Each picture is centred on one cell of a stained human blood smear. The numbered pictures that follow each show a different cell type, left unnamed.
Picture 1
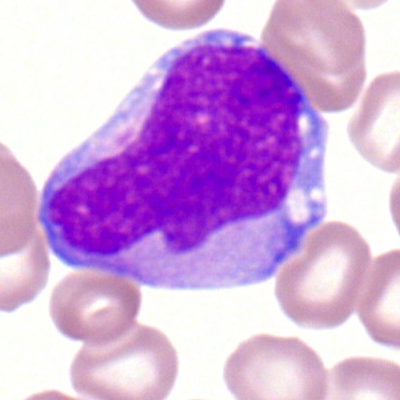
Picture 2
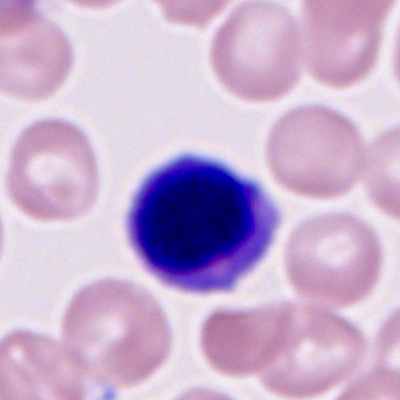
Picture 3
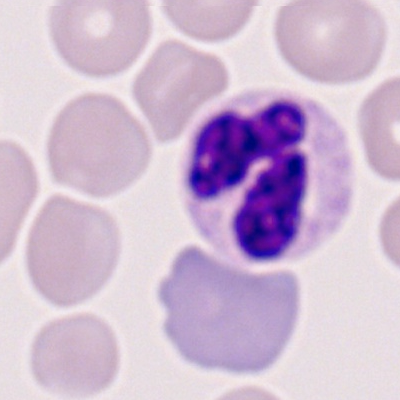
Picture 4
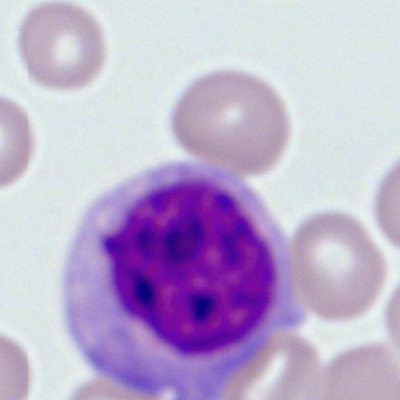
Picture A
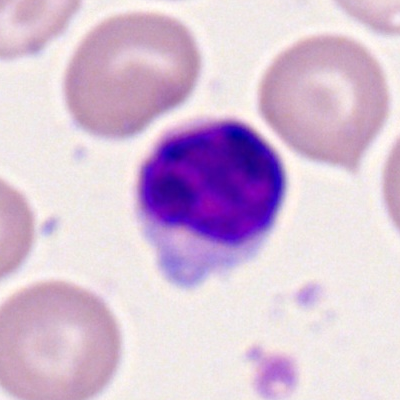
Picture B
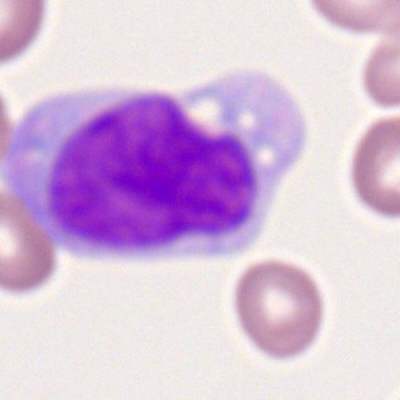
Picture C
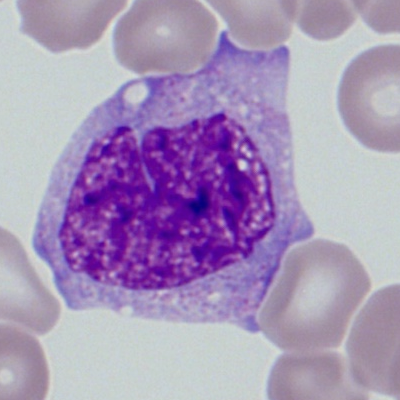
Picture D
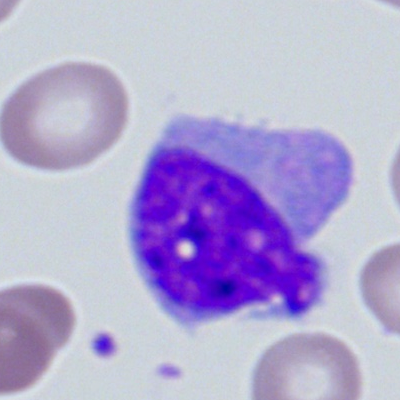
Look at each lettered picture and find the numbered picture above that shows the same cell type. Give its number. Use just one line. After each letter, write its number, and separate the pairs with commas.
A 2, B 4, C 4, D 4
